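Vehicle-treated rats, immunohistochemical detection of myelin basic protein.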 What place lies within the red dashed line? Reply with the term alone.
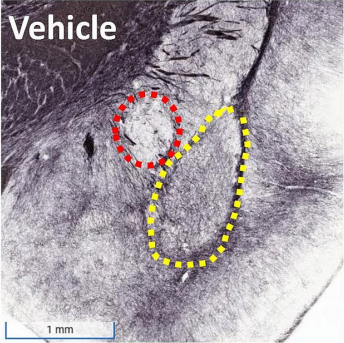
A: Central nucleus.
